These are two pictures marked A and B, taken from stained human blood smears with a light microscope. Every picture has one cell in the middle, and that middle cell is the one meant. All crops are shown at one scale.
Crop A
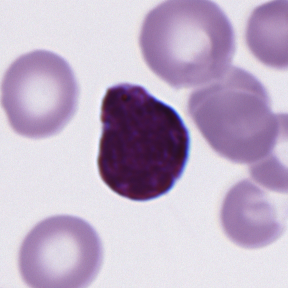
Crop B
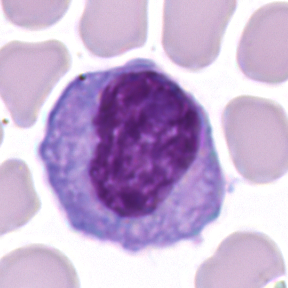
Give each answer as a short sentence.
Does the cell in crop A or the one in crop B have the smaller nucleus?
Smaller is the nucleus in crop A, and the other is about 1.5 times as large in area.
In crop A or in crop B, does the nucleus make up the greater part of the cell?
The nucleus fills more of the cell in crop A than in crop B.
